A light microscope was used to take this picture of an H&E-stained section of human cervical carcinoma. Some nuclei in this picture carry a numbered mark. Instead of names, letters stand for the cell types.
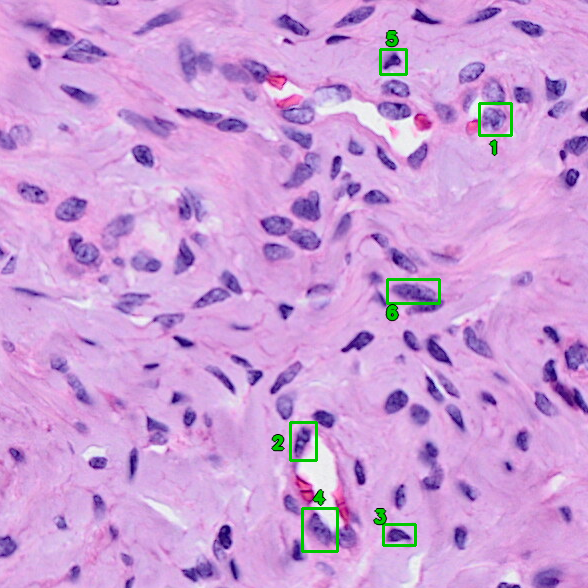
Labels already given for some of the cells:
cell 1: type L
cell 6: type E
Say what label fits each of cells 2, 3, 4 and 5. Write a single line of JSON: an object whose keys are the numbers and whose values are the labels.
{"2": "type L", "3": "type E", "4": "type L", "5": "type E"}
